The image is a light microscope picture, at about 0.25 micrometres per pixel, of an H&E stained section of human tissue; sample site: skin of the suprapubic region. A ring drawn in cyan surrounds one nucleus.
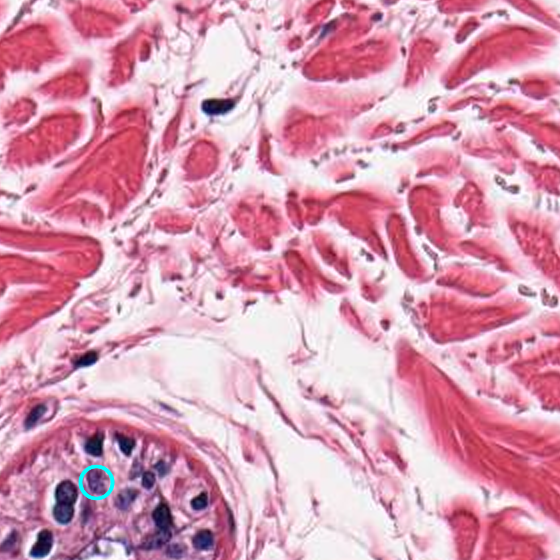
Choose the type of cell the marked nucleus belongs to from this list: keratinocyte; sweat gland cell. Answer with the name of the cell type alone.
sweat gland cell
